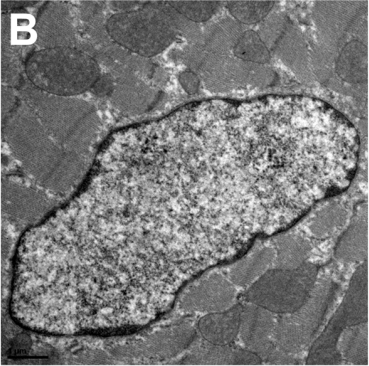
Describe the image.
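This is a cardiomyocyte seen by transmission electron microscopy, its large oval nucleus filling the middle of the field. The nucleus has pale, finely granular chromatin with a thin dark rim along a fairly smooth envelope.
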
